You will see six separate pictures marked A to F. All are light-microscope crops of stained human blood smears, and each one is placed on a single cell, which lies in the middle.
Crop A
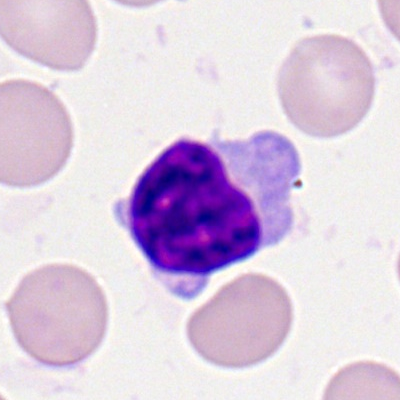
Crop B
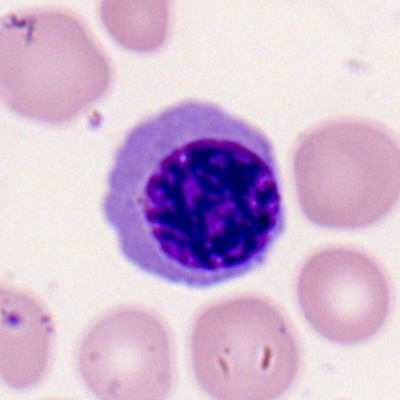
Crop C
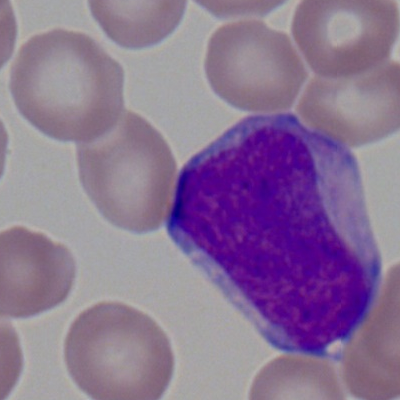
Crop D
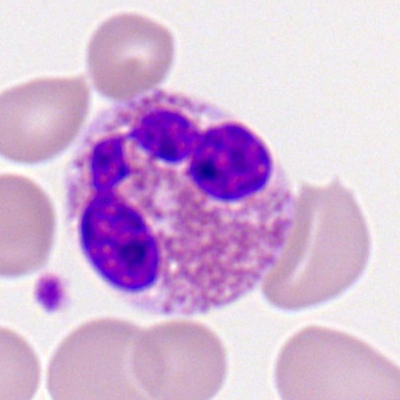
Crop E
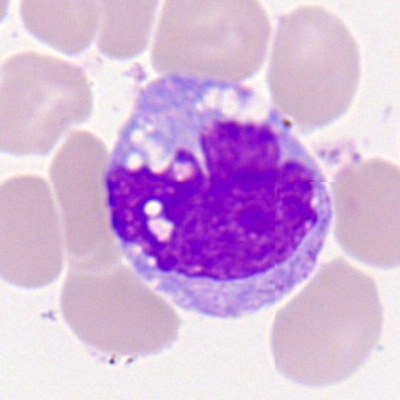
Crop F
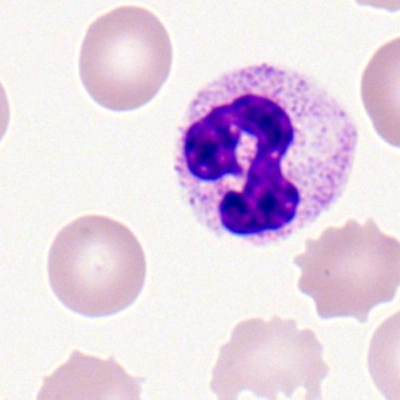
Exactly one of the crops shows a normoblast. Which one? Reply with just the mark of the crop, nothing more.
B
